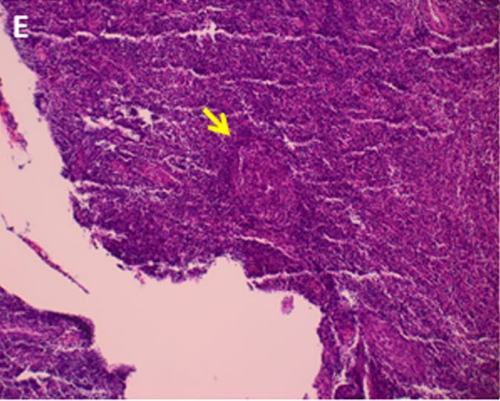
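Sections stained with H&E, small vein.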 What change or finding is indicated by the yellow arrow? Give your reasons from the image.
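The arrow points to a small rounded structure packed with cells within a dense cellular infiltrate.
Obliterative phlebitis.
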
